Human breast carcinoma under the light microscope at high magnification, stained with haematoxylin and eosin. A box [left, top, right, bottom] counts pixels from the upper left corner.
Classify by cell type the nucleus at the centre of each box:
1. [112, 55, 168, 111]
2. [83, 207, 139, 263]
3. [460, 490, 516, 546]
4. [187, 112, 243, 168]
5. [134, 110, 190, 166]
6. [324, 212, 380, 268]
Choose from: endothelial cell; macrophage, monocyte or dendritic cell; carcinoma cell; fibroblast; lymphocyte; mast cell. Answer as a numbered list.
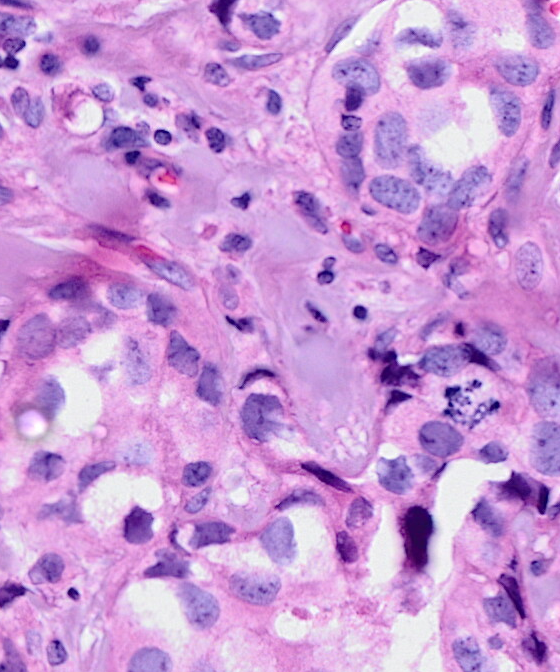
1. lymphocyte
2. endothelial cell
3. carcinoma cell
4. lymphocyte
5. lymphocyte
6. endothelial cell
